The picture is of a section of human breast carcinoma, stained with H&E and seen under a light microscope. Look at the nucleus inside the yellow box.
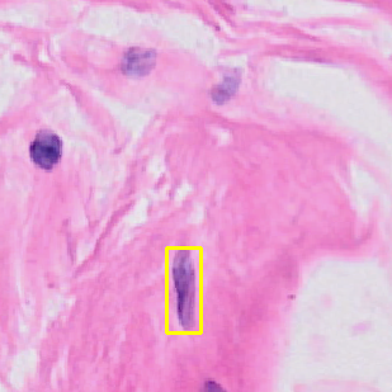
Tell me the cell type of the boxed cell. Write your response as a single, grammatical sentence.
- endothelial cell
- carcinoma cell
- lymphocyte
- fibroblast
Among the cells in this section, the boxed cell is a fibroblast.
